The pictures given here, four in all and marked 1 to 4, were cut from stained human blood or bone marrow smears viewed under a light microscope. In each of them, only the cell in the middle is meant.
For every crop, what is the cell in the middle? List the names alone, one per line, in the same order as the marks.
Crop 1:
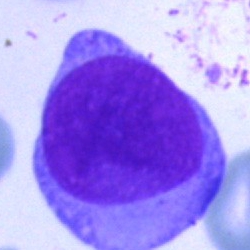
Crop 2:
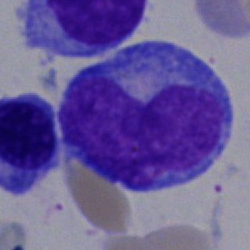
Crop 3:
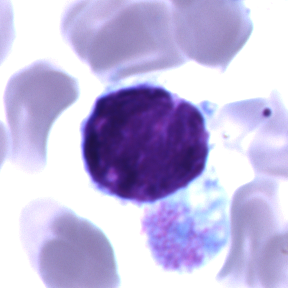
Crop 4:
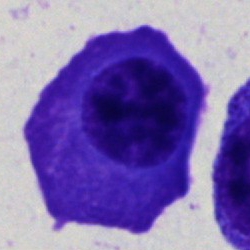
blast
blast
lymphocyte
plasma cell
